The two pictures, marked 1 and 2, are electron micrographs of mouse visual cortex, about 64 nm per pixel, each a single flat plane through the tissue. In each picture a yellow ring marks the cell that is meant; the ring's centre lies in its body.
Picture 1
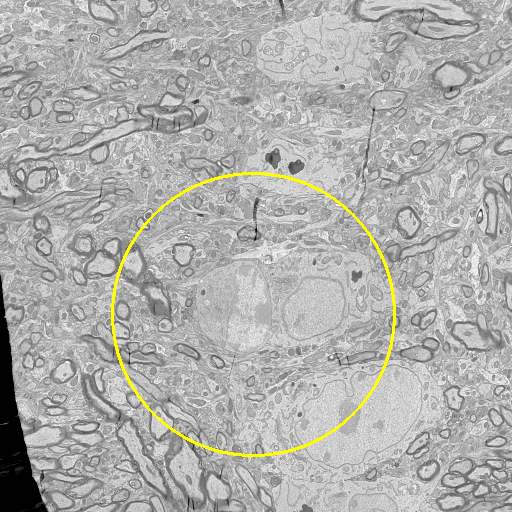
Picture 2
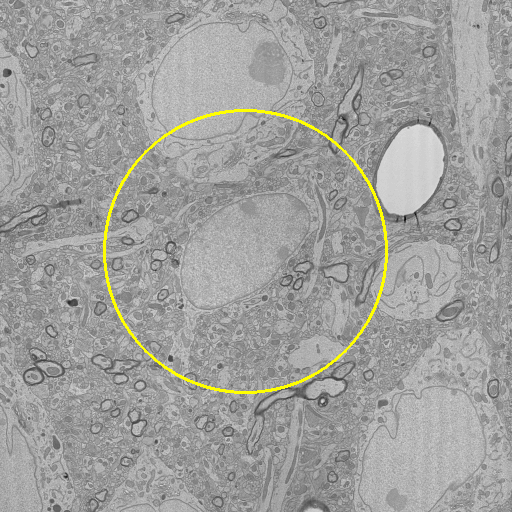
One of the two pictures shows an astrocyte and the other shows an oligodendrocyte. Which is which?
Picture 1 is of an oligodendrocyte, and picture 2 is of an astrocyte.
